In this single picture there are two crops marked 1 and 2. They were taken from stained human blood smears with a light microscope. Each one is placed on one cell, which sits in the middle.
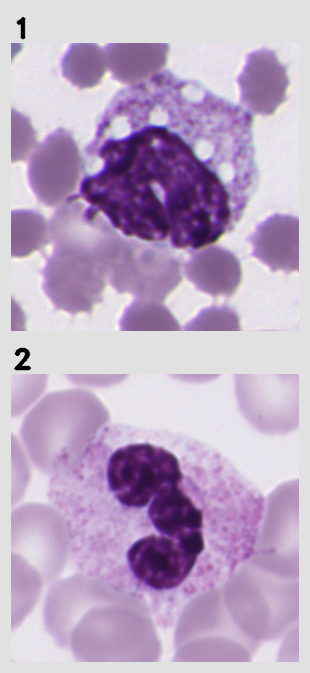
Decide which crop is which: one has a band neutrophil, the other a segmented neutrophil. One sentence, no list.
Crop 1 depicts a band neutrophil, and a segmented neutrophil is depicted in crop 2.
